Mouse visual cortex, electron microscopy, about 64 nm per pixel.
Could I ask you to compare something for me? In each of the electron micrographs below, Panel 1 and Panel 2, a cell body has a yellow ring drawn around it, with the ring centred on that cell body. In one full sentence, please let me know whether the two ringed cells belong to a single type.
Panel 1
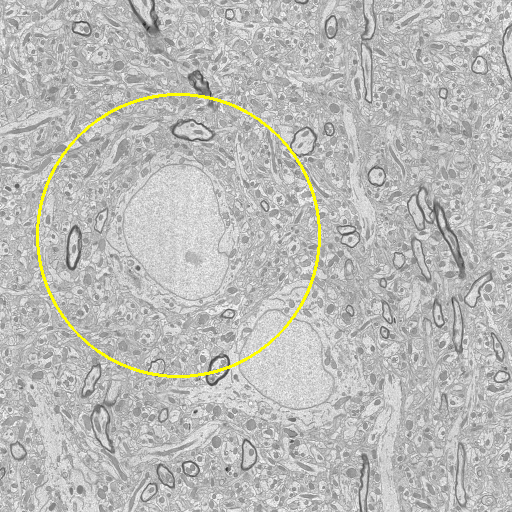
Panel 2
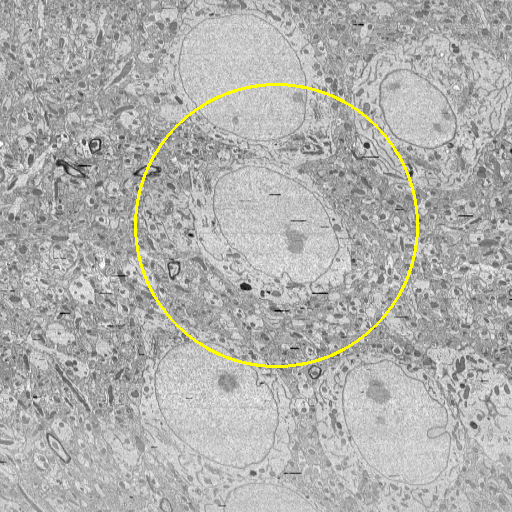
Yes, the two cells at the centres of the rings are of one type.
